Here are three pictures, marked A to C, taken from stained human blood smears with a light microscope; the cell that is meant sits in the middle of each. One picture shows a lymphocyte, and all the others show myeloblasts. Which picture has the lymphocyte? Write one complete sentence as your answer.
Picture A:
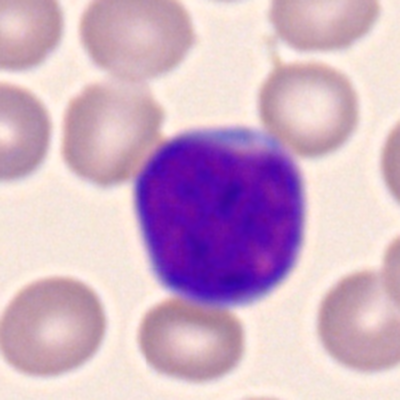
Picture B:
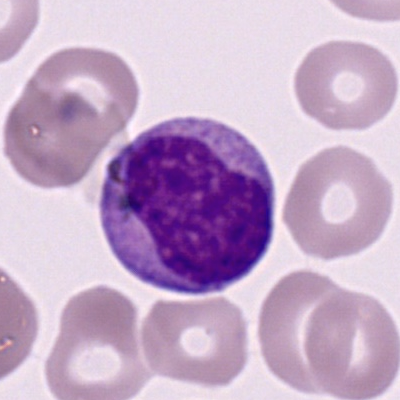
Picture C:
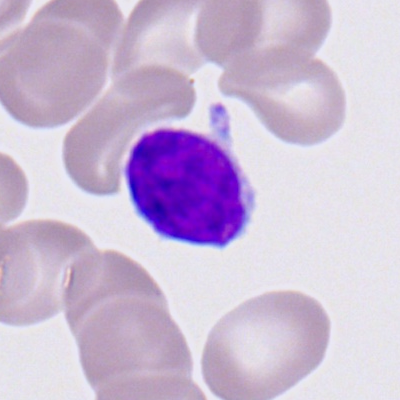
Picture C shows the lymphocyte.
